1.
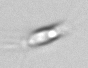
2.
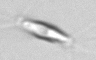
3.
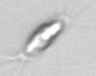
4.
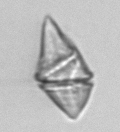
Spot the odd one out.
Picture 4 (Gyrodinium among Chrysochromulina parkeae).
